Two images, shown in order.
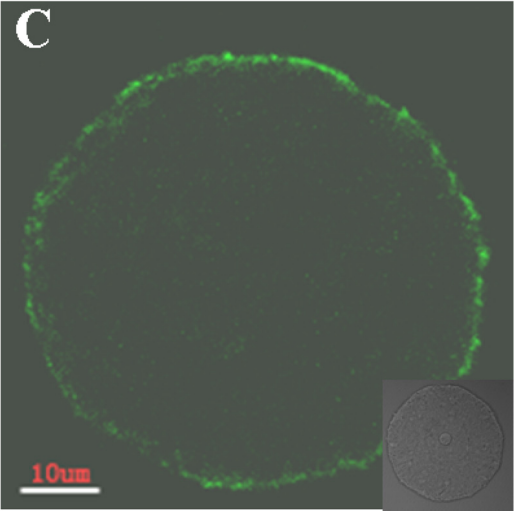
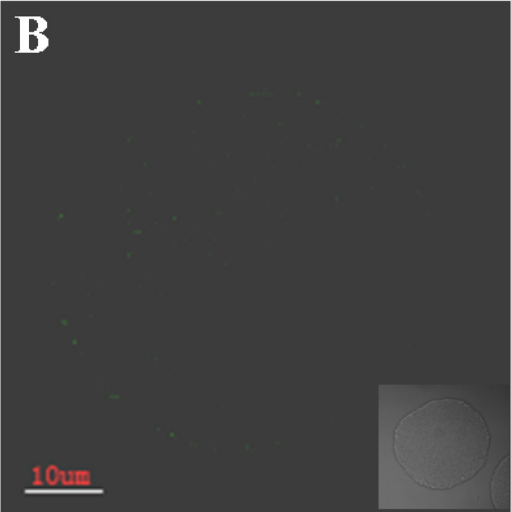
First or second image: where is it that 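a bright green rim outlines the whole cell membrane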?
The first image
